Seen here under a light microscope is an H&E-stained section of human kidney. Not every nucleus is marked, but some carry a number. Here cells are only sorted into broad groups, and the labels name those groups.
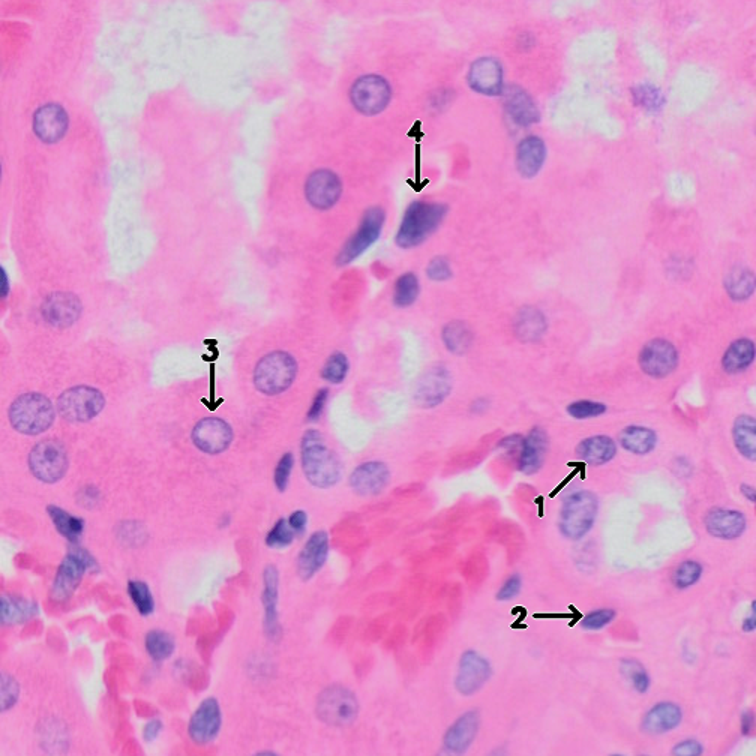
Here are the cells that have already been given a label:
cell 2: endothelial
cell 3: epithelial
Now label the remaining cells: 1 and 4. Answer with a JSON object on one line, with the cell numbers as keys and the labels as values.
{"1": "epithelial", "4": "endothelial"}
